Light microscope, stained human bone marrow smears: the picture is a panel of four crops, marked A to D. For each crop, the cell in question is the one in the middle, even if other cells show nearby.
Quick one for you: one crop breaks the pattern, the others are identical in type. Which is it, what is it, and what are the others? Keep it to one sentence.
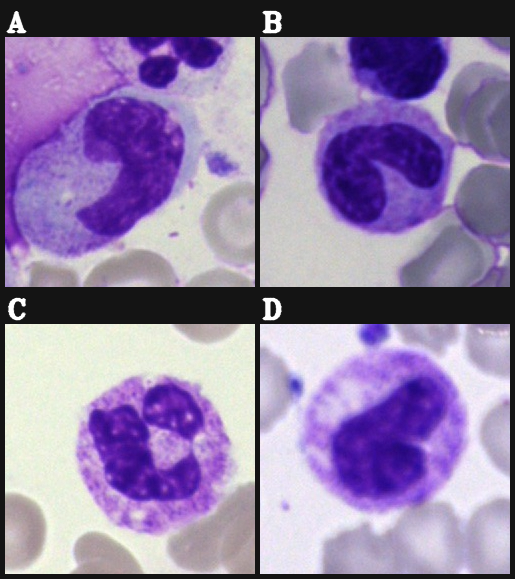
Identified in crop C is a segmented neutrophil, whereas the other crops all show band neutrophils.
